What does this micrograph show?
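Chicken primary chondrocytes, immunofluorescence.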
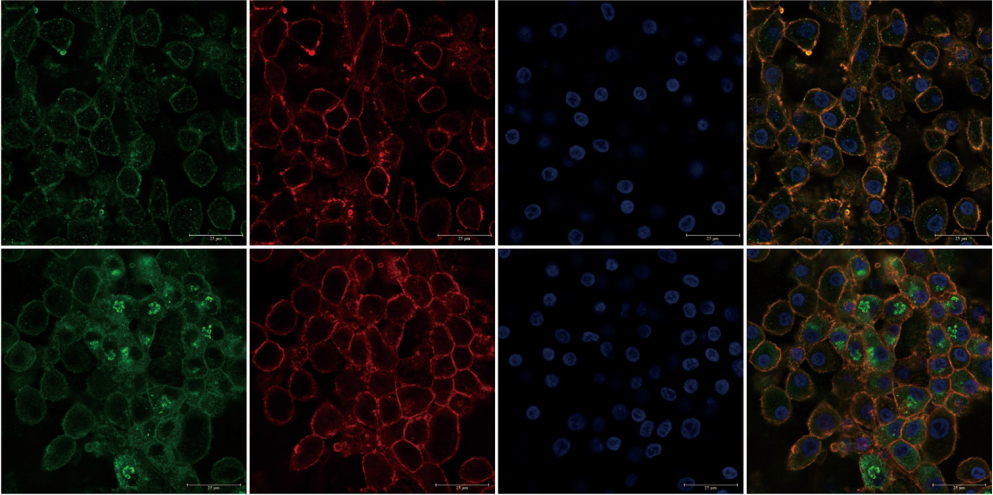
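The cells are rounded to polygonal and lie packed against one another, their borders traced by a thin red ring at the cell edge. Each cell has one oval blue nucleus, usually near its centre. In the lower row the green lies in the cytoplasm, with bright granular clusters close to the nucleus in several cells. In the upper row the green is fainter and mostly follows the cell outlines with a few scattered dots.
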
